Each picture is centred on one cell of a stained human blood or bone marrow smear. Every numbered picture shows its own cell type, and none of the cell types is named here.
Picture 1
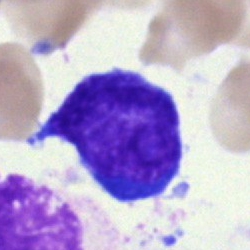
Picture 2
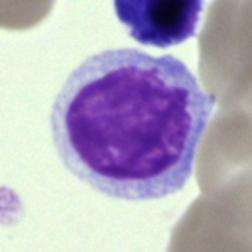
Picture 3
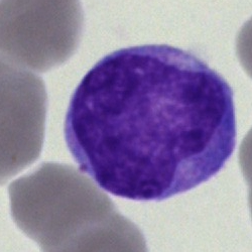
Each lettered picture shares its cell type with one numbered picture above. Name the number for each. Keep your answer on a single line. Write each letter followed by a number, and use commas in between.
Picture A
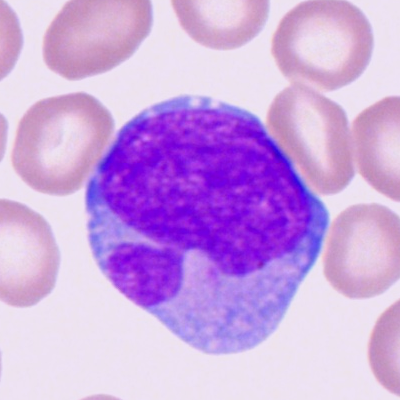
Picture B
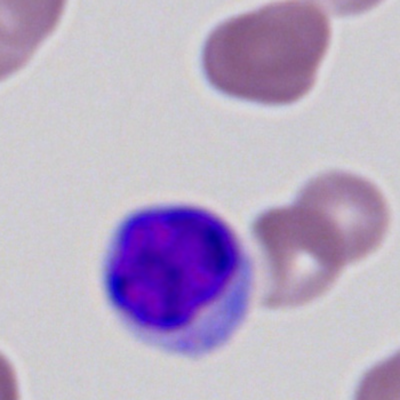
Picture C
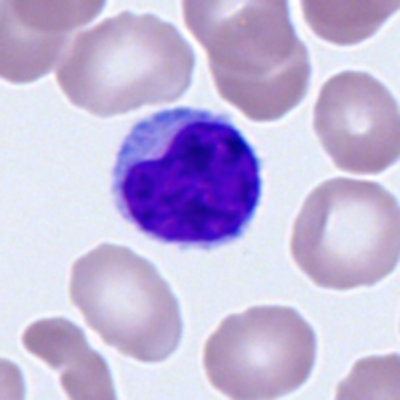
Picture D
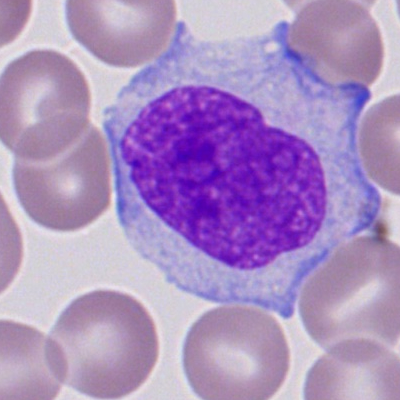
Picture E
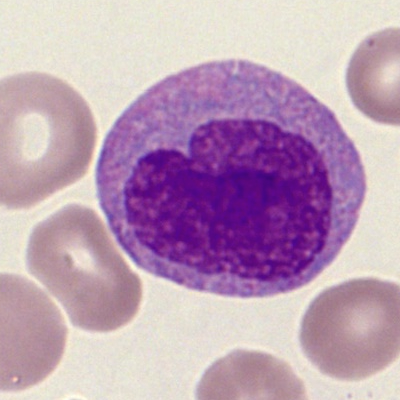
A 1, B 2, C 2, D 3, E 1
